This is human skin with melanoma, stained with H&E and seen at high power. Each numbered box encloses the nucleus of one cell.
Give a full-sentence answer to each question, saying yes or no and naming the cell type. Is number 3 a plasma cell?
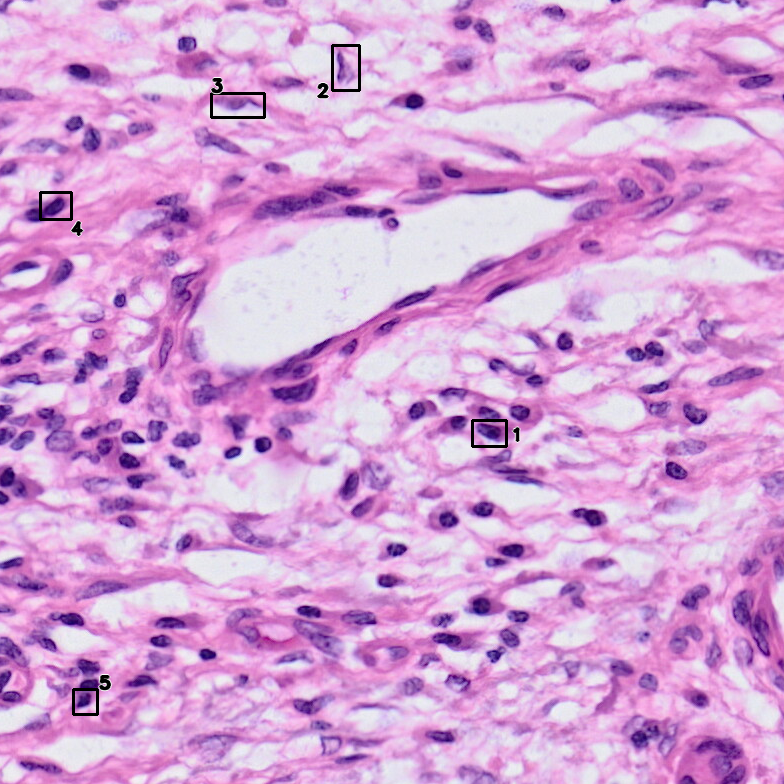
No, number 3 belongs to a fibroblast or myofibroblast, not to a plasma cell.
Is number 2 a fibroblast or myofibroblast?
Yes, the cell with number 2 is a fibroblast or myofibroblast.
